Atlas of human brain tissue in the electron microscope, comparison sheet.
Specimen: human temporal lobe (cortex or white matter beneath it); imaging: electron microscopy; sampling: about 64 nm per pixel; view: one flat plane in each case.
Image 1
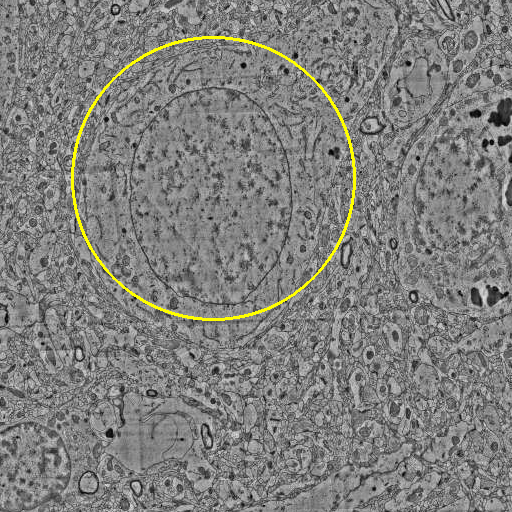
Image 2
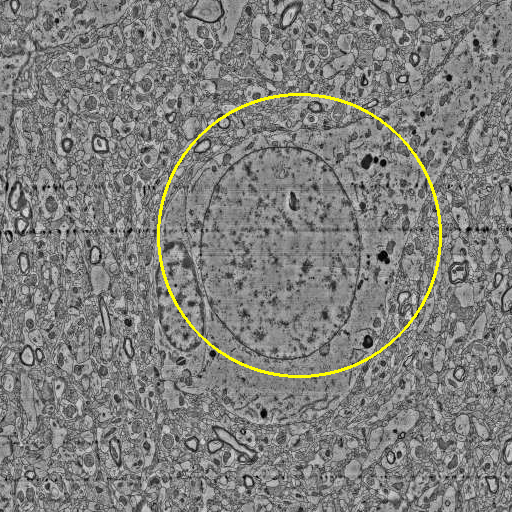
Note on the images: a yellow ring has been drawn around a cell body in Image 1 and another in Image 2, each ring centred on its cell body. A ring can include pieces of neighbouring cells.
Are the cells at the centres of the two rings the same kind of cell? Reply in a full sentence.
Yes, both cells are of the same kind.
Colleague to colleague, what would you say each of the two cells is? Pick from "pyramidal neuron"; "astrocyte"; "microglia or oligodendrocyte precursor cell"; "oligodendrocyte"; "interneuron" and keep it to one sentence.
In the first picture and in the second, the ring is centred on a pyramidal neuron.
